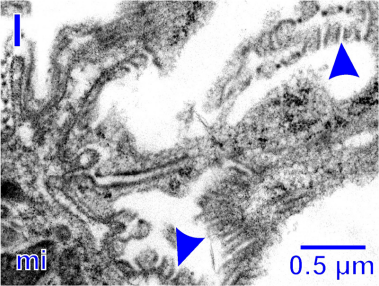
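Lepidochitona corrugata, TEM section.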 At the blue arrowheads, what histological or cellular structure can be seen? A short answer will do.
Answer: ultrafiltration slits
